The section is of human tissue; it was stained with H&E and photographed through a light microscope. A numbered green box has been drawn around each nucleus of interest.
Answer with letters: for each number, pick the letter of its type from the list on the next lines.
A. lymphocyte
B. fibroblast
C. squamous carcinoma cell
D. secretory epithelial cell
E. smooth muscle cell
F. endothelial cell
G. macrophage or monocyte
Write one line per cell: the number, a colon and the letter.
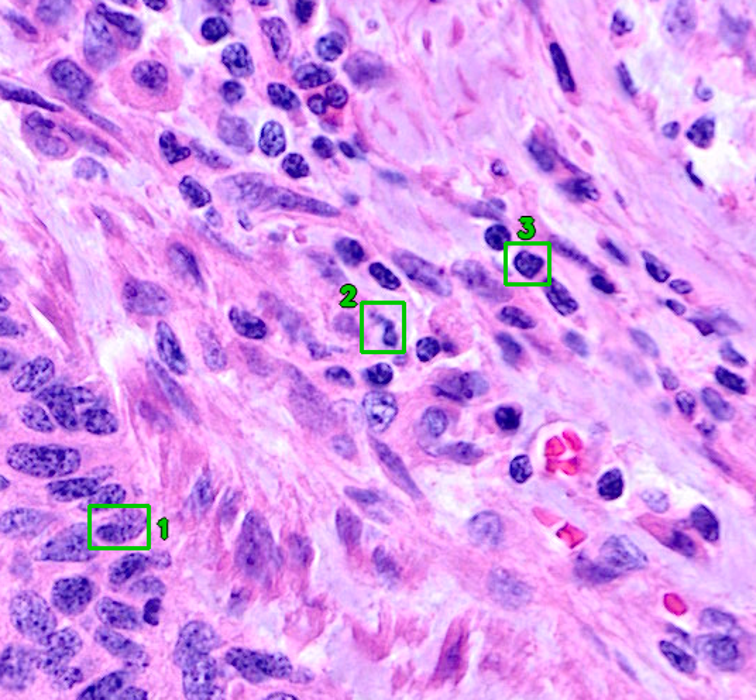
1: C
2: A
3: A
